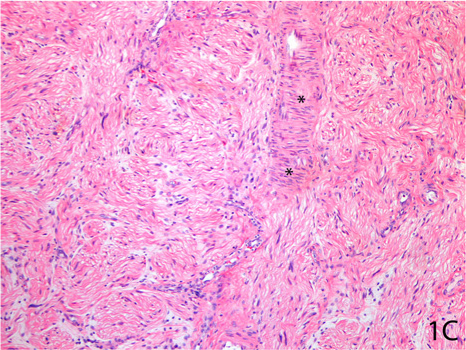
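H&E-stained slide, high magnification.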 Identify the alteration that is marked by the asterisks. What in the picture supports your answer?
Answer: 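Elongated nuclei line up side by side in a row. This row stands out against the surrounding wavy pink fascicles.
Hence: vague nuclear pallisading.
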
